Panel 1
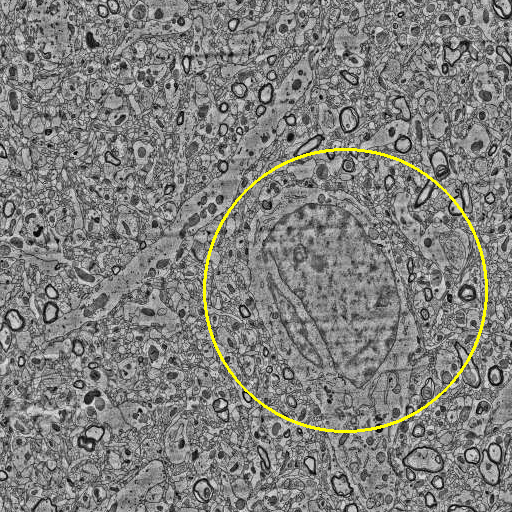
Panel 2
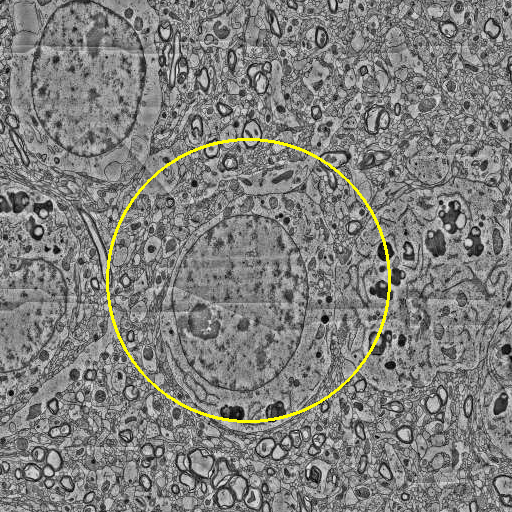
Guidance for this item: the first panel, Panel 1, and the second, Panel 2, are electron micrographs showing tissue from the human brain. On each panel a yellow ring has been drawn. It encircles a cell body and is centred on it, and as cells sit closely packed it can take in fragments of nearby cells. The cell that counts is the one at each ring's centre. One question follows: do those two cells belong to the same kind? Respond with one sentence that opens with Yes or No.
No, the cells at the ring centres in Panel 1 and Panel 2 are of two kinds.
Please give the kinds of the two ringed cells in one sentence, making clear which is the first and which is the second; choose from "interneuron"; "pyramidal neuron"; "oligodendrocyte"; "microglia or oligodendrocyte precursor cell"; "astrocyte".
In the second picture the ringed cell is a pyramidal neuron; in the first it is an interneuron.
